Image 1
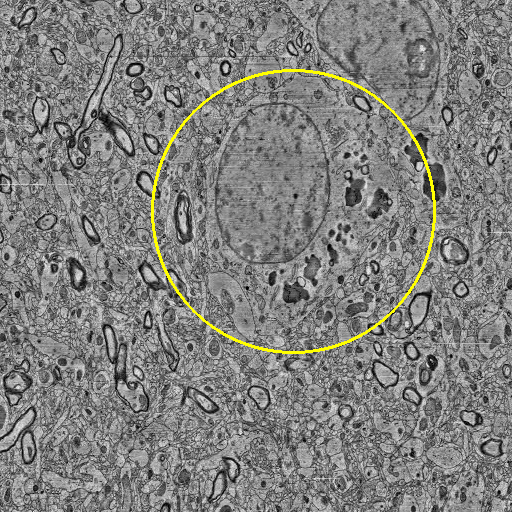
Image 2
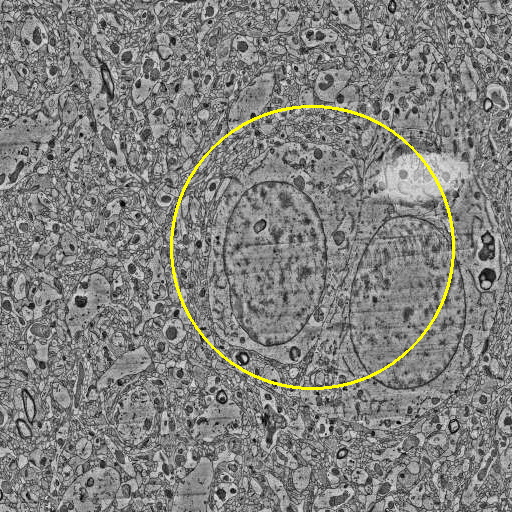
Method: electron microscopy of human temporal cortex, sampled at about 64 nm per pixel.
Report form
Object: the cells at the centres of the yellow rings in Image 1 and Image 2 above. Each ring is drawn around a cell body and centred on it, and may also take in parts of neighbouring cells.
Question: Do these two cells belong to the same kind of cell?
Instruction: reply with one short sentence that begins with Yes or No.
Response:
No, they belong to two kinds of cell.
